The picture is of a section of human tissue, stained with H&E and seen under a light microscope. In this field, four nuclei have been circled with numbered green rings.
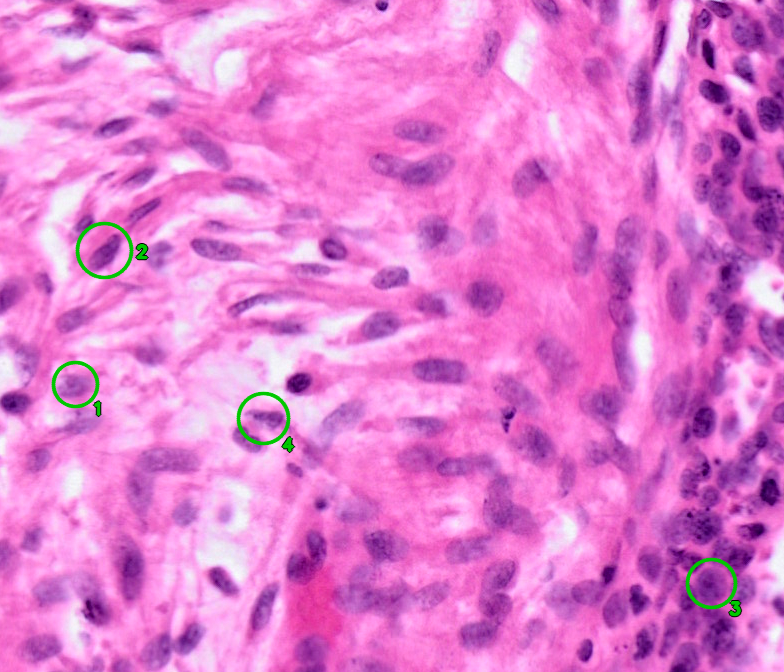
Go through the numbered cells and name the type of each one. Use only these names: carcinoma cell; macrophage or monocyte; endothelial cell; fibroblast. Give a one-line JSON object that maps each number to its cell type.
{"1": "fibroblast", "2": "fibroblast", "3": "carcinoma cell", "4": "fibroblast"}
